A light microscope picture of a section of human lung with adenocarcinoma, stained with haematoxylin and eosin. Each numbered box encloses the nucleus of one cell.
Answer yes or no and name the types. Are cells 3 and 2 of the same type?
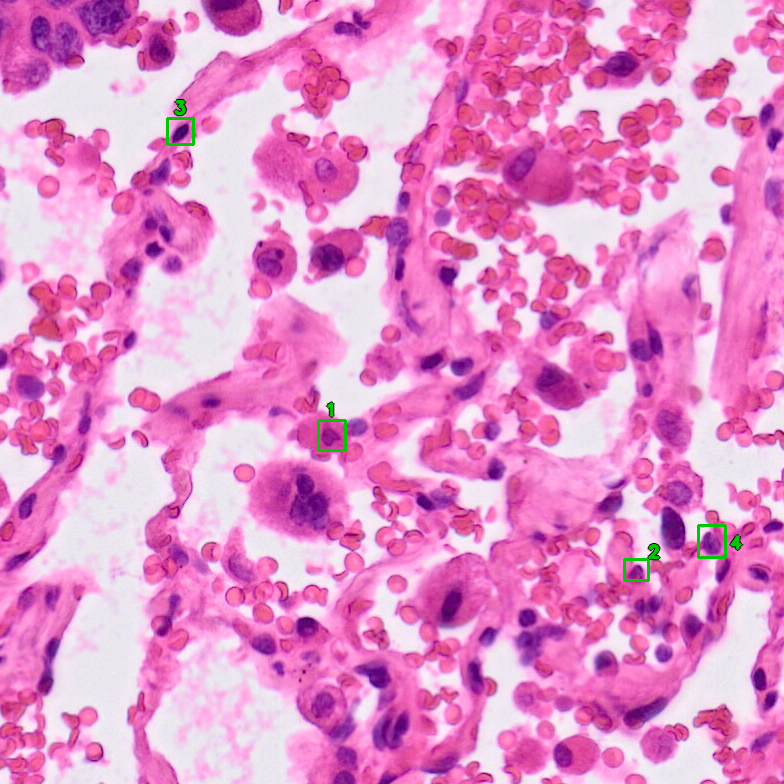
No, cell 3 is classed as an endothelial cell and cell 2 as a type I pneumocyte.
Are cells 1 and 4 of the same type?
No, cell 1 is a macrophage or monocyte and cell 4, for its part, is a type I pneumocyte.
